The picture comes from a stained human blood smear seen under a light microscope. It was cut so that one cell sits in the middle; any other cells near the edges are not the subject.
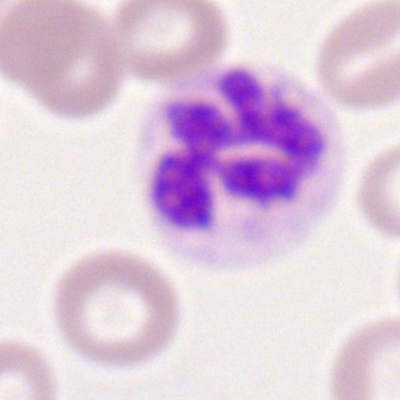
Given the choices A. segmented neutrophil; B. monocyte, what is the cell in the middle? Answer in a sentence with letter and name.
Correctly, option A names the cell in the middle a segmented neutrophil.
